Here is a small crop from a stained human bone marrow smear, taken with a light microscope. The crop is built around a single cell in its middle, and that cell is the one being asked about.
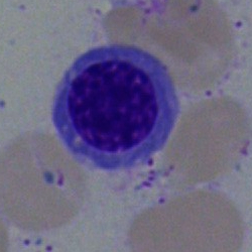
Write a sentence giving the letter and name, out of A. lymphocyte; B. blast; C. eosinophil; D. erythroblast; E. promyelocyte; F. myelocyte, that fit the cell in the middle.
This one is option D, since the cell at the center is an erythroblast.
